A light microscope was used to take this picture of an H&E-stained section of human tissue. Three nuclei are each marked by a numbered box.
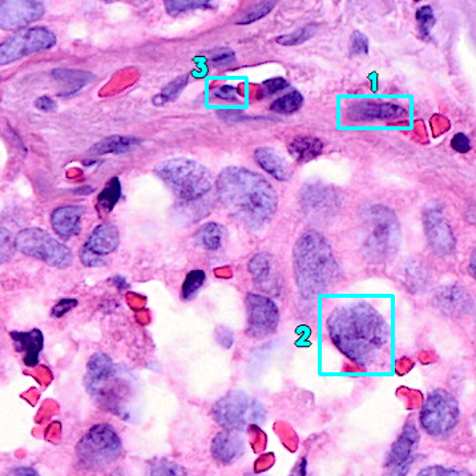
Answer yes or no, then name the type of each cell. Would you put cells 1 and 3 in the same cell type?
Yes, both are endothelial cells.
